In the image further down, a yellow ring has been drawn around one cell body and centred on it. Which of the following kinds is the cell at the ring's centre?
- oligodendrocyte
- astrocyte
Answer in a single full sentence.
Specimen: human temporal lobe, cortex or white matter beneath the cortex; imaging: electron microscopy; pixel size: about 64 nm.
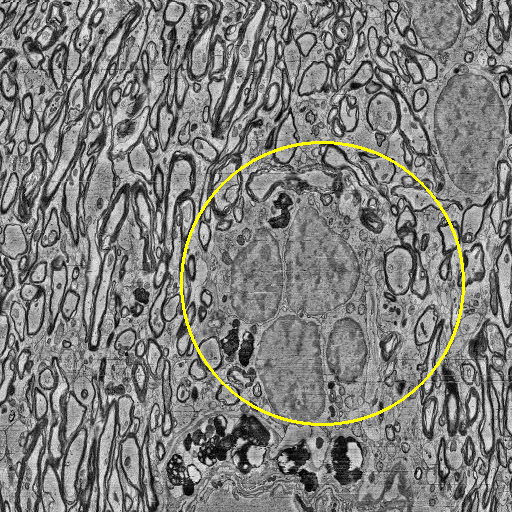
In the picture, the cell sitting at the centre of the yellow ring is an oligodendrocyte.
